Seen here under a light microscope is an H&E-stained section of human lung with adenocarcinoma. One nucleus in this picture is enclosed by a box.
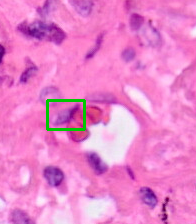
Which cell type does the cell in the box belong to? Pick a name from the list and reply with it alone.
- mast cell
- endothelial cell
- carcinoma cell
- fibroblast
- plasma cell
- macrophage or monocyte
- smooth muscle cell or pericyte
endothelial cell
